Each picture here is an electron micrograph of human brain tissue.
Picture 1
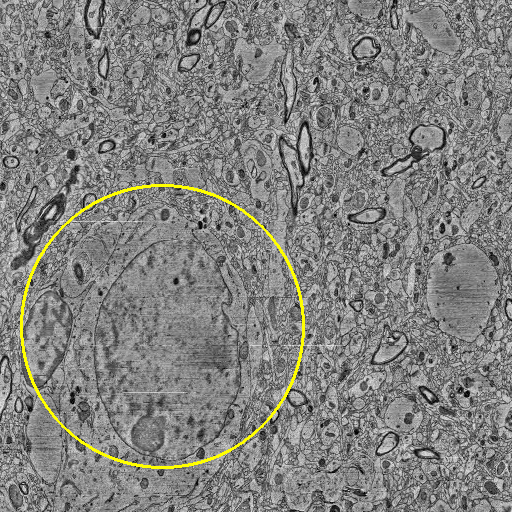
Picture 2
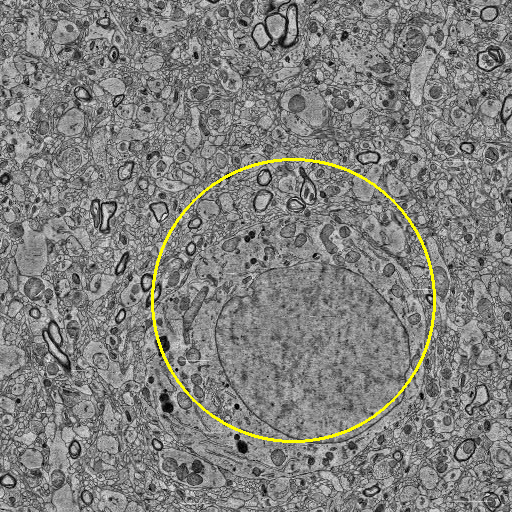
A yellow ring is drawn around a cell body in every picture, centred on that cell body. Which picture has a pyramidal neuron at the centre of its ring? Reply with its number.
1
